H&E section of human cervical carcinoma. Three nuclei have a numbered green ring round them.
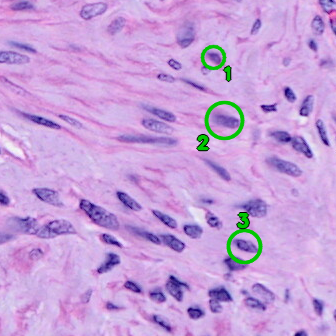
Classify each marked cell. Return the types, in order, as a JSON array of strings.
["smooth muscle cell", "smooth muscle cell", "fibroblast"]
